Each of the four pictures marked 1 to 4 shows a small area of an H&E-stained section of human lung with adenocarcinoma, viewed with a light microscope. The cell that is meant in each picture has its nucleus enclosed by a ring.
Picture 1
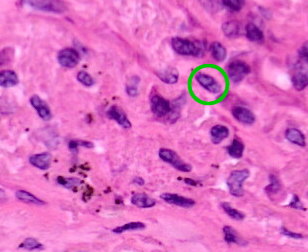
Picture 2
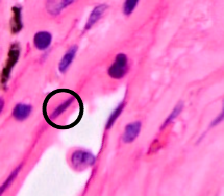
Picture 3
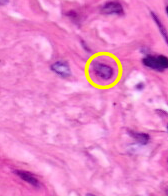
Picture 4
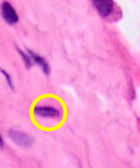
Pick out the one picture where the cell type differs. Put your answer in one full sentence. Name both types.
Picture 2 differs, because its cell is an endothelial cell and the rest are mast cells.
